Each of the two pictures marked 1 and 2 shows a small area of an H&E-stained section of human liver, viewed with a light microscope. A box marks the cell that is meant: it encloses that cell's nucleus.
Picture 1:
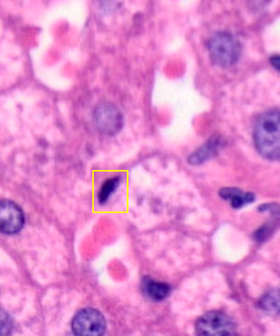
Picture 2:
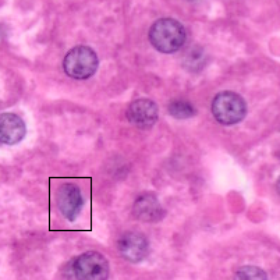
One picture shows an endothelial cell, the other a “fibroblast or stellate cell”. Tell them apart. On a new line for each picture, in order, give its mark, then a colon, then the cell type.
1: fibroblast or stellate cell
2: endothelial cell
